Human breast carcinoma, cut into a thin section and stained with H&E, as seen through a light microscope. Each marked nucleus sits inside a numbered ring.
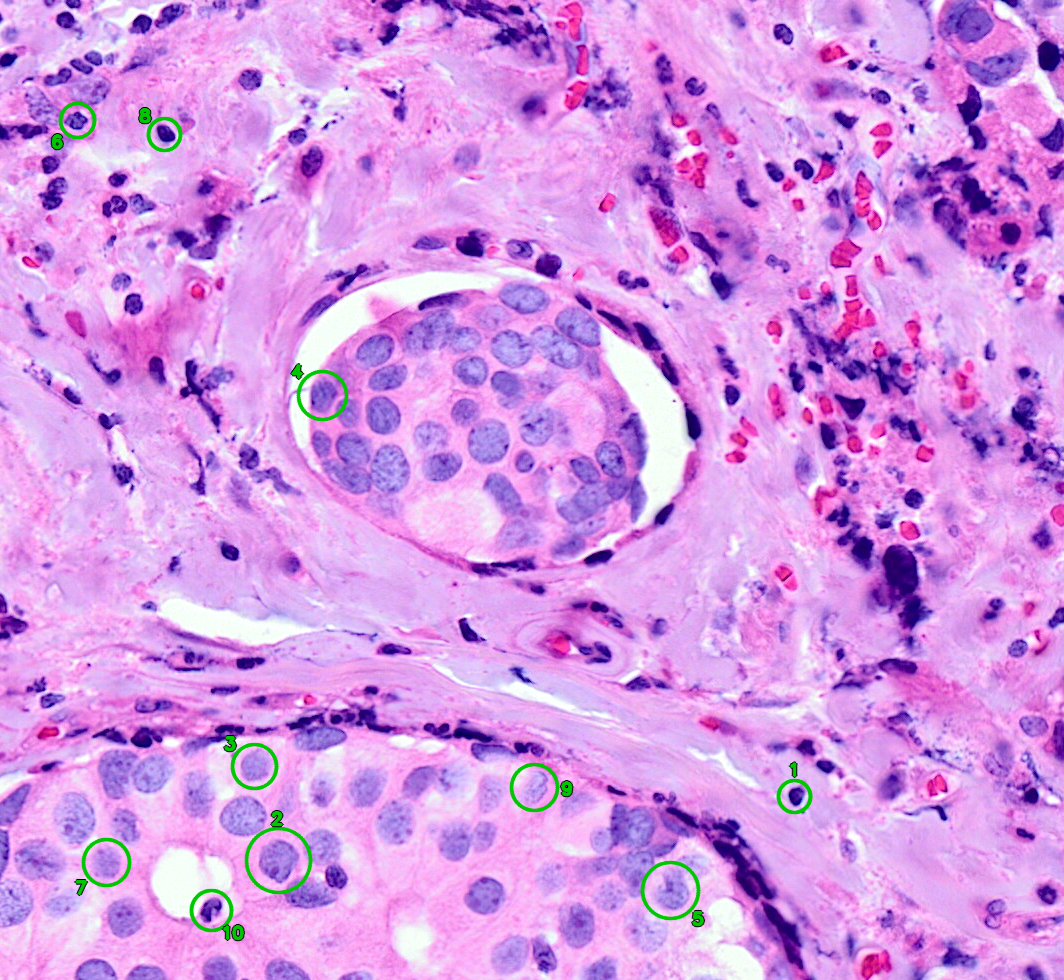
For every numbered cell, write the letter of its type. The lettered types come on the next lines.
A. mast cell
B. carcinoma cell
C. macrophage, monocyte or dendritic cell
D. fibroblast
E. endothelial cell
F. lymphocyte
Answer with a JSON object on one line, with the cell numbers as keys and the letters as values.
{"1": "F", "2": "B", "3": "B", "4": "B", "5": "B", "6": "F", "7": "B", "8": "F", "9": "B", "10": "F"}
